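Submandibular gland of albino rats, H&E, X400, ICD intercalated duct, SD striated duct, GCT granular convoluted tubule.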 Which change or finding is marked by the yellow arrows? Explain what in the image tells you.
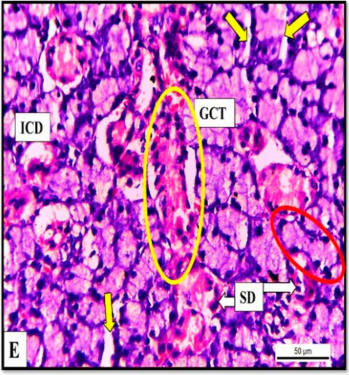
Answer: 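Interacinar spaces. The yellow arrows point to clear white gaps between neighbouring acini.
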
